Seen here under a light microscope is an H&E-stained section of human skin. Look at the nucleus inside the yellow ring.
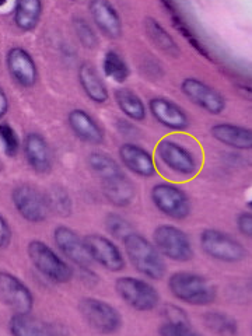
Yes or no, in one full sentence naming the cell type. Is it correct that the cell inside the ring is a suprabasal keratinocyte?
Yes, it is as a suprabasal keratinocyte that the cell inside the ring is classified.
